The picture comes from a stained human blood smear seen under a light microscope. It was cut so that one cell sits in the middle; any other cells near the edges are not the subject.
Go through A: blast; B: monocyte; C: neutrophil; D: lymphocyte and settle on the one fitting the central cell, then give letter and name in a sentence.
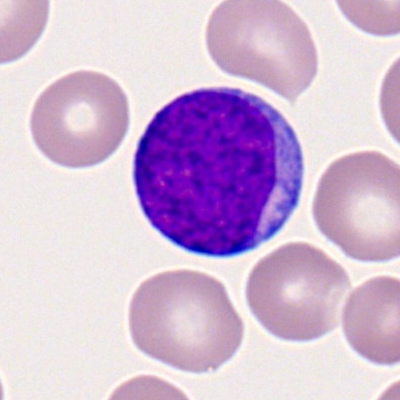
What sits in the middle of the crop is a blast, and option A is correct.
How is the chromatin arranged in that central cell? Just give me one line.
One feature to record is coarsely clumped chromatin.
